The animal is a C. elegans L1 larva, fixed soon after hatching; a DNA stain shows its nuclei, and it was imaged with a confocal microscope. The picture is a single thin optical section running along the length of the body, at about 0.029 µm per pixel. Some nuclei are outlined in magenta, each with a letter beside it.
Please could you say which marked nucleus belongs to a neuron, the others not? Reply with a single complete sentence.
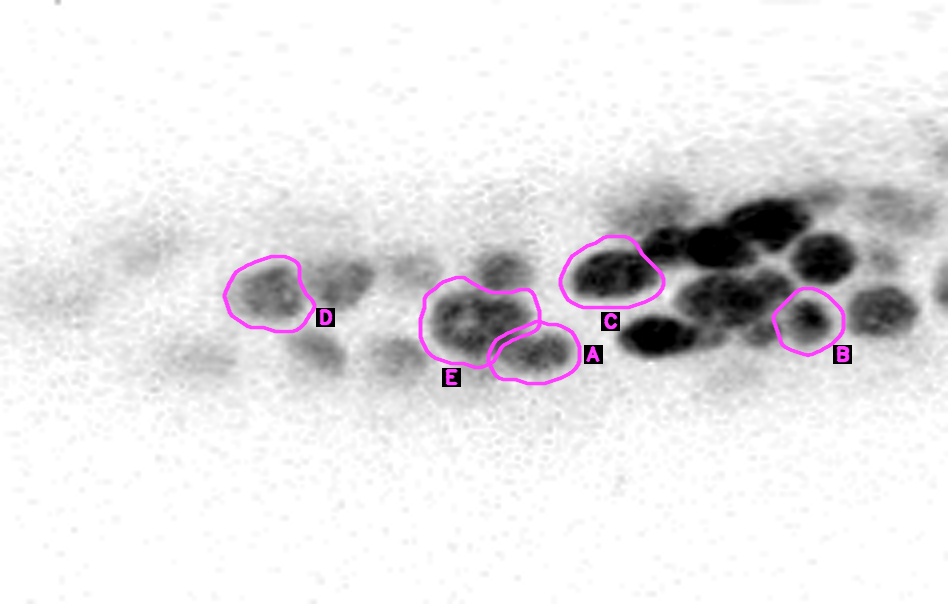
It is B that belongs to a neuron.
